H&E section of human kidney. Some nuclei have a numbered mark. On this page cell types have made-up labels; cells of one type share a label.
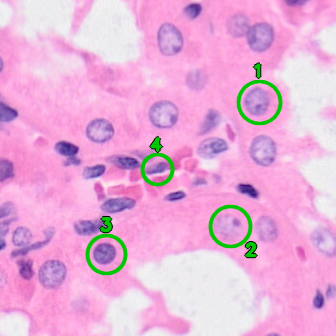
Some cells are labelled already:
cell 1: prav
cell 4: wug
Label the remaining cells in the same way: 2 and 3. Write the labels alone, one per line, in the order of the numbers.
prav
prav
